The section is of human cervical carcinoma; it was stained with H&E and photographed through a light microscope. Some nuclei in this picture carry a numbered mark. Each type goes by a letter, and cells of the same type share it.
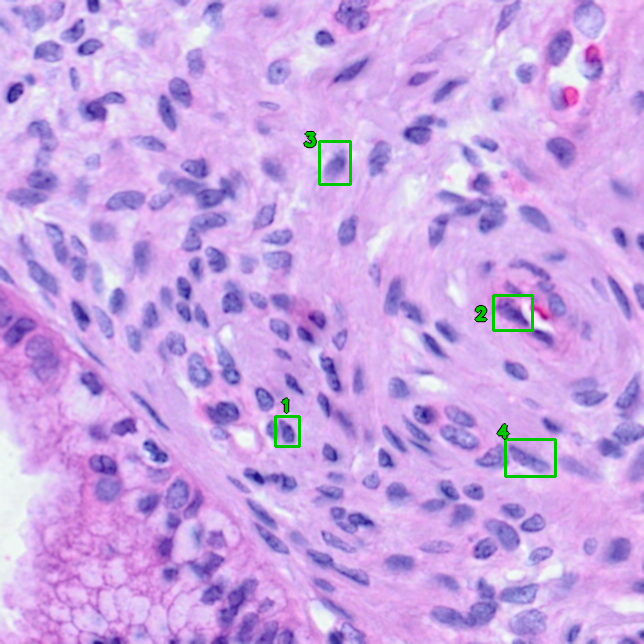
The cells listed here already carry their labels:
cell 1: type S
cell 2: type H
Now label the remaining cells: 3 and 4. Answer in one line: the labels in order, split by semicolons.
type S; type S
